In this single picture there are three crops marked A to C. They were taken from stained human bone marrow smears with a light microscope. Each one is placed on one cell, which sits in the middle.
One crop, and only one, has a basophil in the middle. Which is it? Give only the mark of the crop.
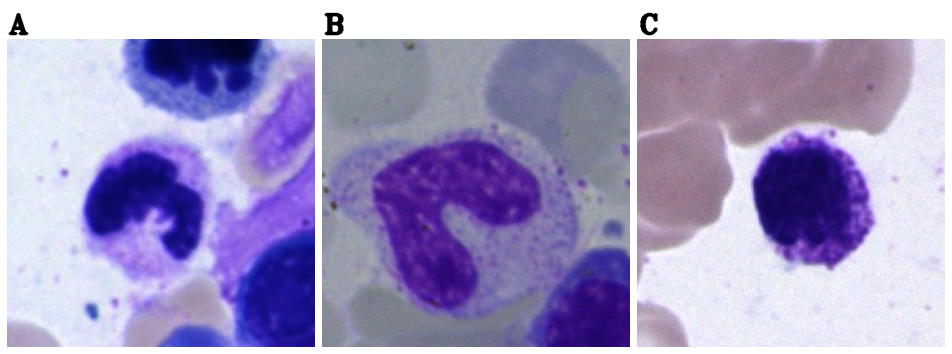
C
